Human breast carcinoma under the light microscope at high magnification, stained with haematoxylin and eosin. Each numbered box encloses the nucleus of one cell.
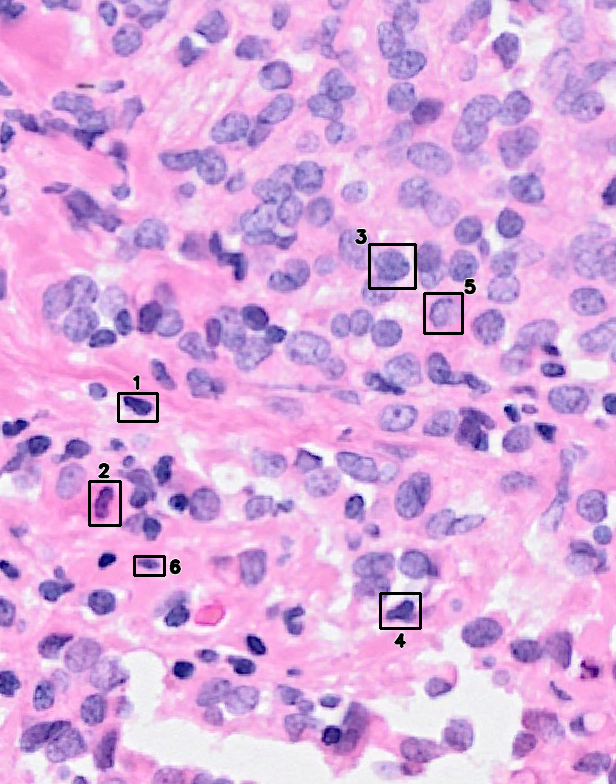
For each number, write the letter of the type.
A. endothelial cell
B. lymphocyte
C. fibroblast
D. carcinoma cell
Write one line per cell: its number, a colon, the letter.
1: B
2: B
3: D
4: B
5: D
6: B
